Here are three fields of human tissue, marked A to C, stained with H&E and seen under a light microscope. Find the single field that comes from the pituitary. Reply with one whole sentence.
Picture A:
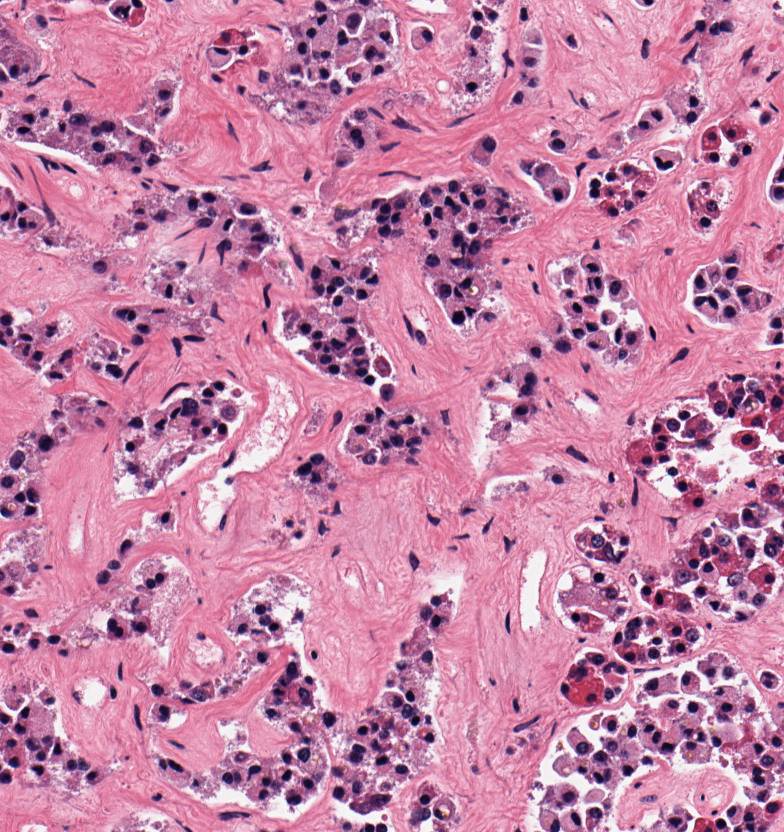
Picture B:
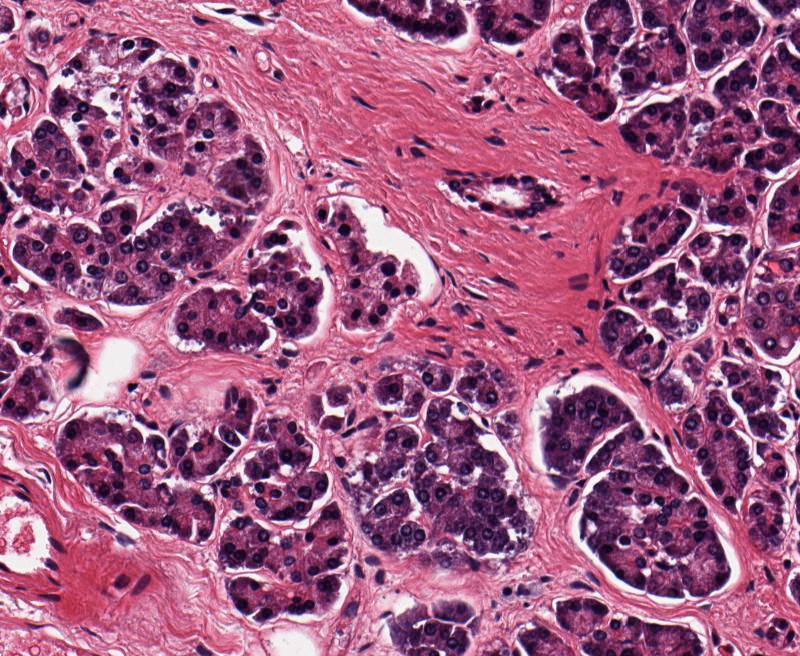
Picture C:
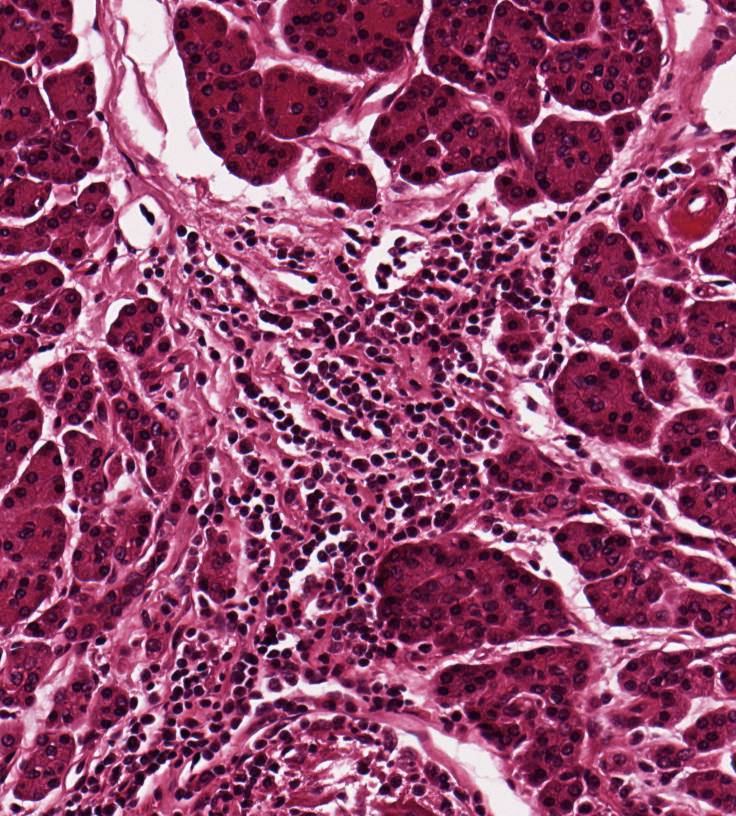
Picture A is the field that comes from the pituitary.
